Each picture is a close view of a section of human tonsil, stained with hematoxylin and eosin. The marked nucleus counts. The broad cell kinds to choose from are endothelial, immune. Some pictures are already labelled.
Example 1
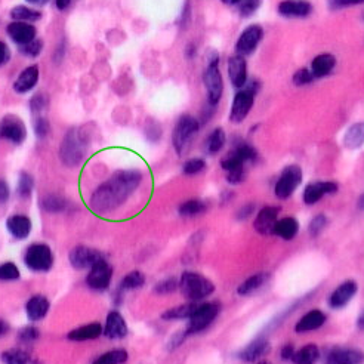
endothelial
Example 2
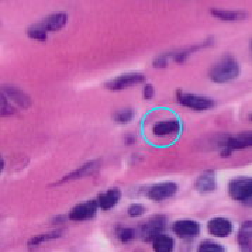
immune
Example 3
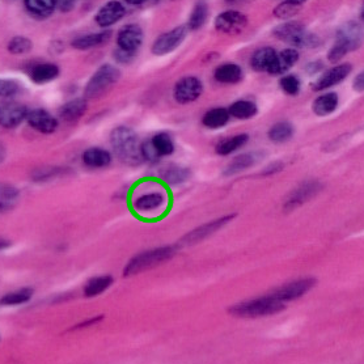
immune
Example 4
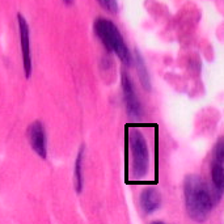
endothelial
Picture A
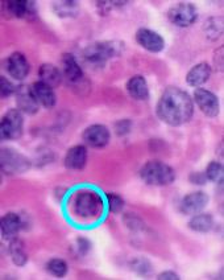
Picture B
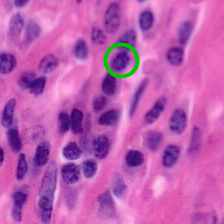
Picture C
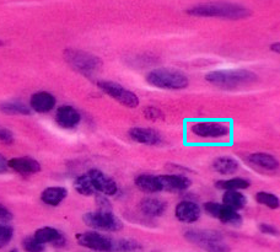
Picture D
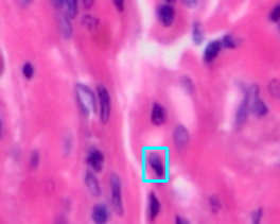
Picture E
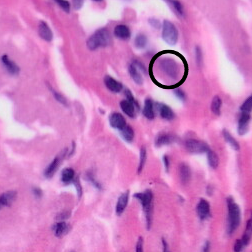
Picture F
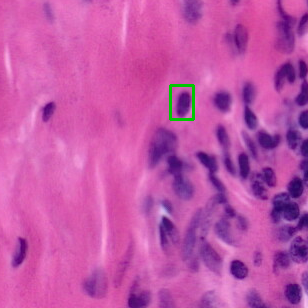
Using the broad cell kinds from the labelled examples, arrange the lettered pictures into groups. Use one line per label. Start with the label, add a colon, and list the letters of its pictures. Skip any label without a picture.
endothelial: E
immune: A, B, C, D, F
